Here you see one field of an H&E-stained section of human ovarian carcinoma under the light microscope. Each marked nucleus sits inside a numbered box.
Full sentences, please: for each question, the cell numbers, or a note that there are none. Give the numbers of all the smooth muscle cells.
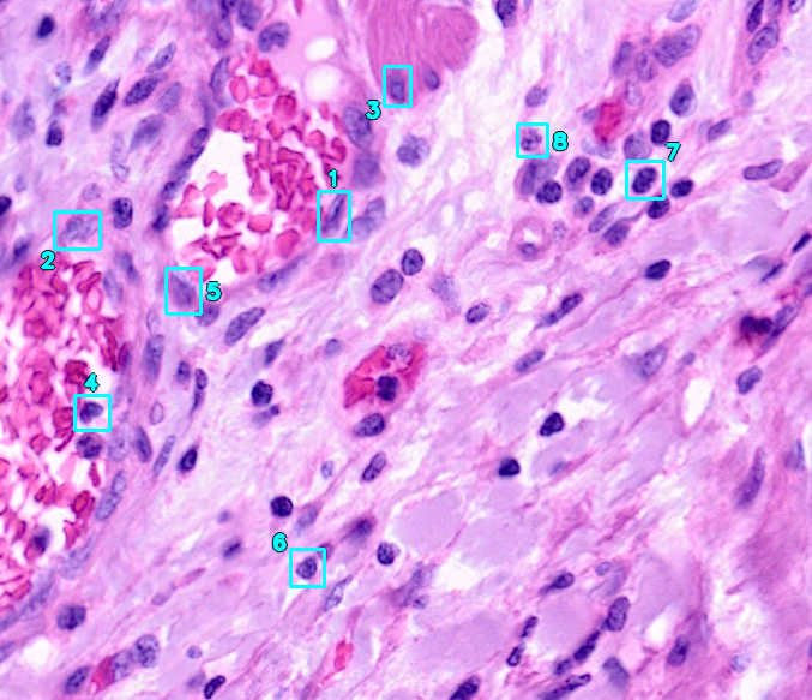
Among the numbered cells, a smooth muscle cell occurs only once, as cell 3.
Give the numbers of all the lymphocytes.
The cells numbered 4, 6, 7 and 8 are identified as lymphocytes.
